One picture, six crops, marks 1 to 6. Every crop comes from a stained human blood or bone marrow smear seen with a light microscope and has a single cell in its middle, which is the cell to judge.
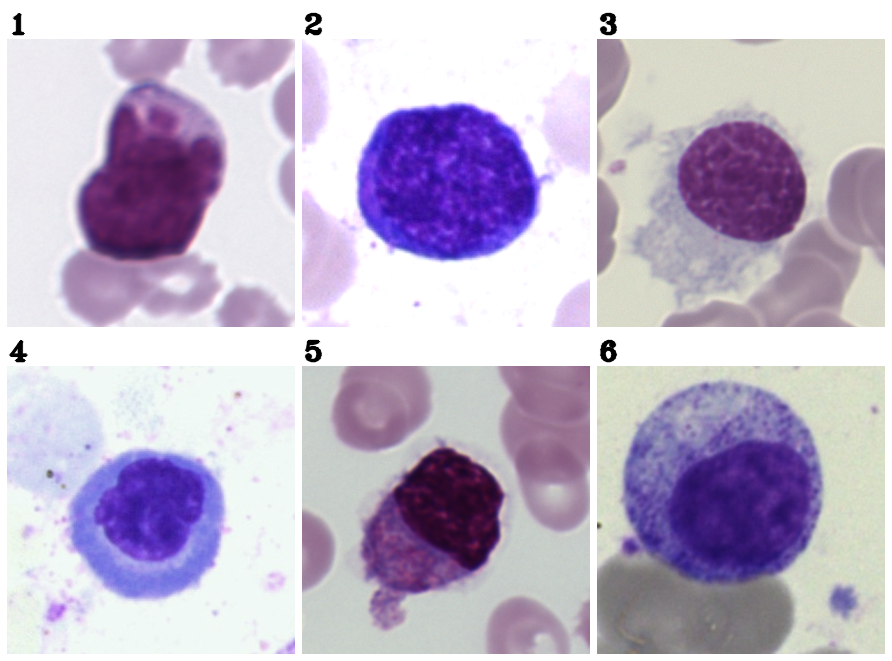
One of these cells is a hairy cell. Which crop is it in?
3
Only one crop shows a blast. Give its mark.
1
